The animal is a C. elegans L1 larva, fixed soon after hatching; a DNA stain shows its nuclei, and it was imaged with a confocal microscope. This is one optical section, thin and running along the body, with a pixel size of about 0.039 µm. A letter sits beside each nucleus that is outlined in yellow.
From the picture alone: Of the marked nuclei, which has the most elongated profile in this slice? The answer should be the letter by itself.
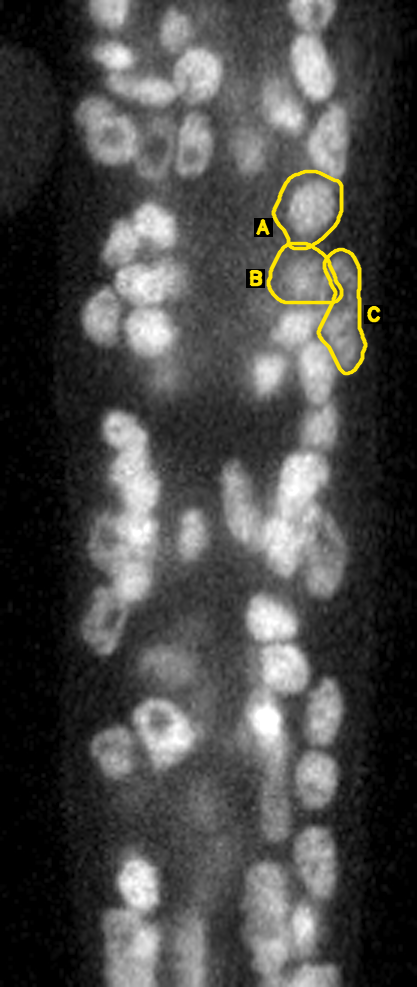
C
